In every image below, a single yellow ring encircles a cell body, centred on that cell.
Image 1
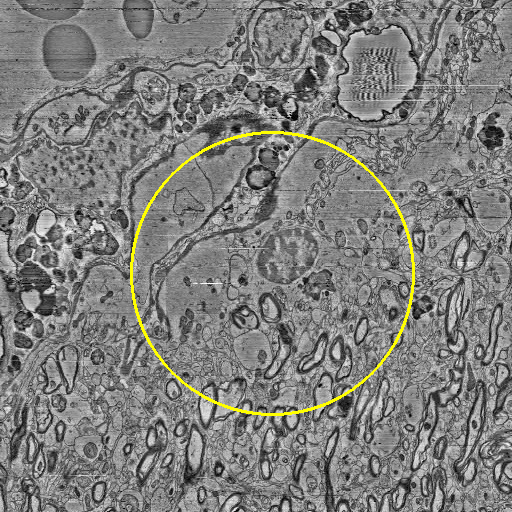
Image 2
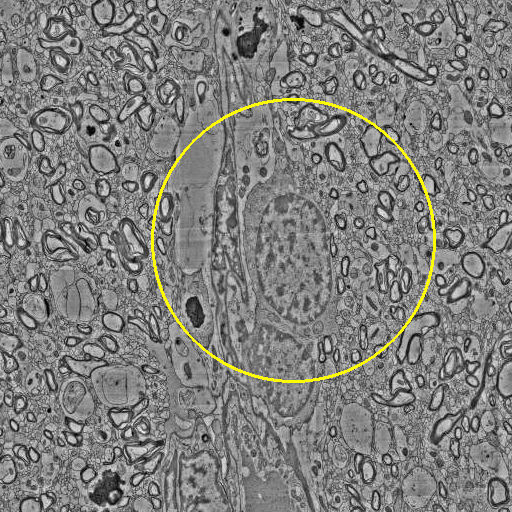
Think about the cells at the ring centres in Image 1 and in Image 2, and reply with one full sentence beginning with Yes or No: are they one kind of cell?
No, the cells centred in the rings of Image 1 and Image 2 are two kinds of cell.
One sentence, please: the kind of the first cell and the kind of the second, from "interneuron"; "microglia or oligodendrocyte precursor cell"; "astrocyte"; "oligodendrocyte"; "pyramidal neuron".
The ring in the first picture surrounds a microglial cell or oligodendrocyte precursor cell, and the ring in the second surrounds an oligodendrocyte.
